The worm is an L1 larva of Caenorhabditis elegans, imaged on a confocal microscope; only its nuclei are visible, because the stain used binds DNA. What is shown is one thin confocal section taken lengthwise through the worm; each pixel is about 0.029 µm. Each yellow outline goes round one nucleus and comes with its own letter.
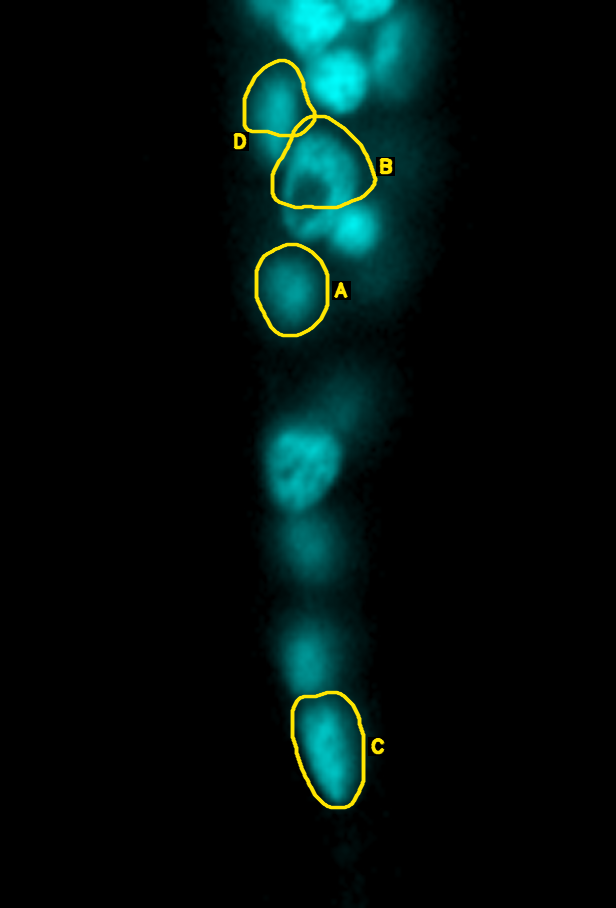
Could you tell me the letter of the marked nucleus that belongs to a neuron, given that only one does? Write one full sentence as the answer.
Of the marked nuclei, A is the one in a neuron.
